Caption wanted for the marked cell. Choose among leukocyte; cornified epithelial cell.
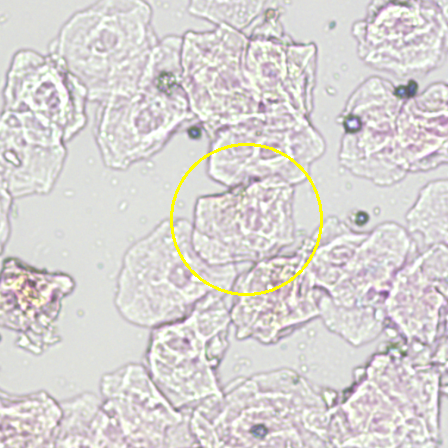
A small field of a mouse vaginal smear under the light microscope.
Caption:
Ringed in yellow is a cornified epithelial cell.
